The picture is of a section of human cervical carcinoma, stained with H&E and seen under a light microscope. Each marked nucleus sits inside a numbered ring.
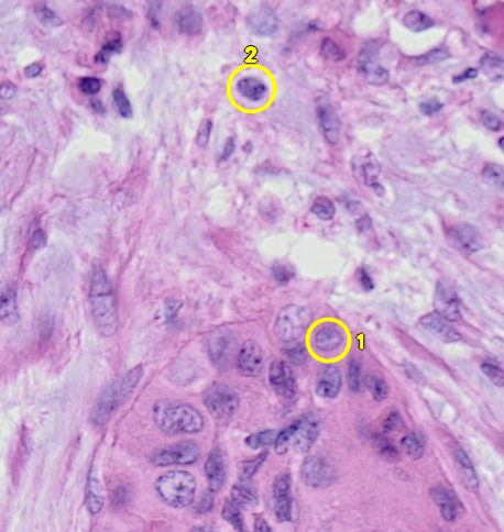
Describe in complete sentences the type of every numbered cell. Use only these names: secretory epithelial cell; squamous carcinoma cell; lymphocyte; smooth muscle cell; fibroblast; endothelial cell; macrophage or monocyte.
Cell 1 is a squamous carcinoma cell and cell 2 is a lymphocyte.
